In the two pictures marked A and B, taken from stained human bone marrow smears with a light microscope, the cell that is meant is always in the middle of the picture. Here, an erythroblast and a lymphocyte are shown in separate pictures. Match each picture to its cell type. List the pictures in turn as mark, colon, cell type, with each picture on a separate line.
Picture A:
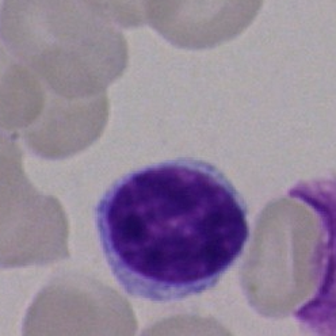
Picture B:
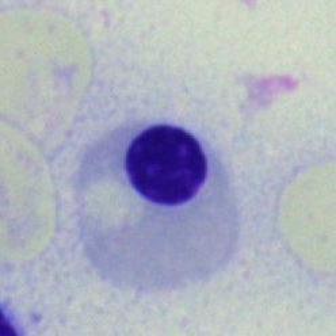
A: lymphocyte
B: erythroblast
